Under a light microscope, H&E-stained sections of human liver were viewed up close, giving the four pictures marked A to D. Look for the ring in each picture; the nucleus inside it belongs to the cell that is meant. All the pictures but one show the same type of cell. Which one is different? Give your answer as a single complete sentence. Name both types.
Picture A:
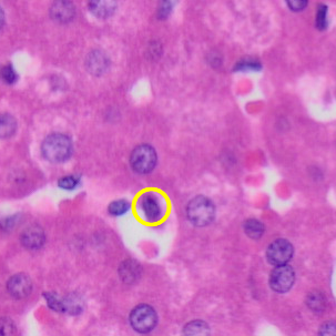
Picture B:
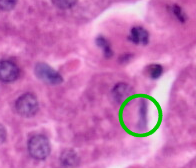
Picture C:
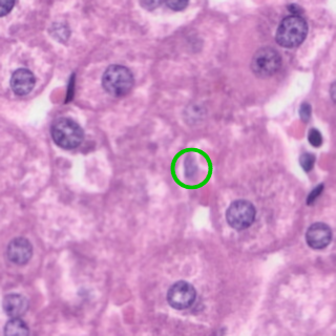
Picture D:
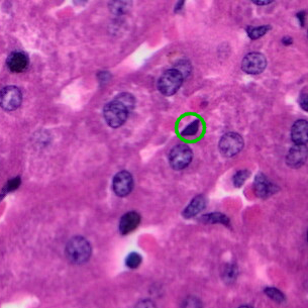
All pictures except D show Kupffer cells; picture D shows a “fibroblast or stellate cell”.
